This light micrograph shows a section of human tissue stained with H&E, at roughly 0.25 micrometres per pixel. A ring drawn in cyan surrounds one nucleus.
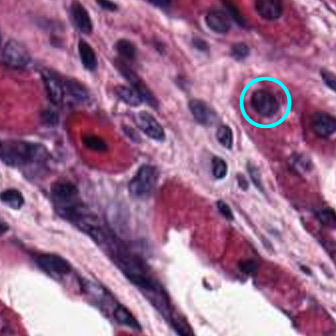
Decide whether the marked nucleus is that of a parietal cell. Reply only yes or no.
yes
